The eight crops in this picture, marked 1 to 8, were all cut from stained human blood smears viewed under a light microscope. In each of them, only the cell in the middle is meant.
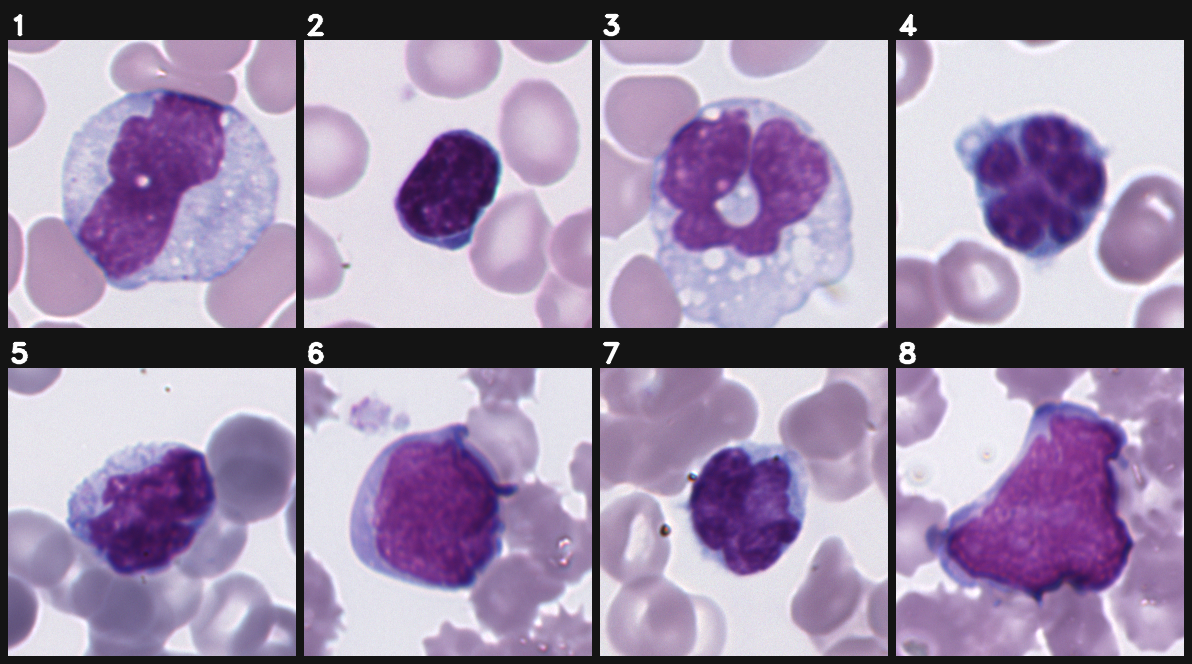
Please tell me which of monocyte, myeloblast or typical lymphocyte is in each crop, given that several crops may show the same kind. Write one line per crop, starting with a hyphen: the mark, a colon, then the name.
- 1: monocyte
- 2: typical lymphocyte
- 3: monocyte
- 4: monocyte
- 5: typical lymphocyte
- 6: myeloblast
- 7: typical lymphocyte
- 8: myeloblast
